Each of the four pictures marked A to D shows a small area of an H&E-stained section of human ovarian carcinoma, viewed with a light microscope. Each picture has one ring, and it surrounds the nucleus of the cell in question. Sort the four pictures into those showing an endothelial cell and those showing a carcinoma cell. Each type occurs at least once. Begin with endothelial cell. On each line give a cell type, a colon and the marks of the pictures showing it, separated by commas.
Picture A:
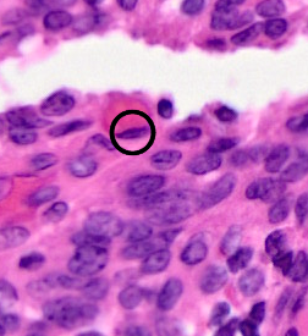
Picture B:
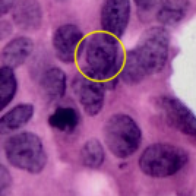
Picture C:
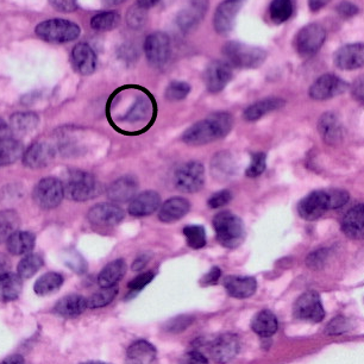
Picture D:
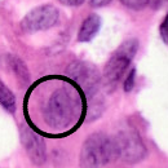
endothelial cell: A, C
carcinoma cell: B, D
